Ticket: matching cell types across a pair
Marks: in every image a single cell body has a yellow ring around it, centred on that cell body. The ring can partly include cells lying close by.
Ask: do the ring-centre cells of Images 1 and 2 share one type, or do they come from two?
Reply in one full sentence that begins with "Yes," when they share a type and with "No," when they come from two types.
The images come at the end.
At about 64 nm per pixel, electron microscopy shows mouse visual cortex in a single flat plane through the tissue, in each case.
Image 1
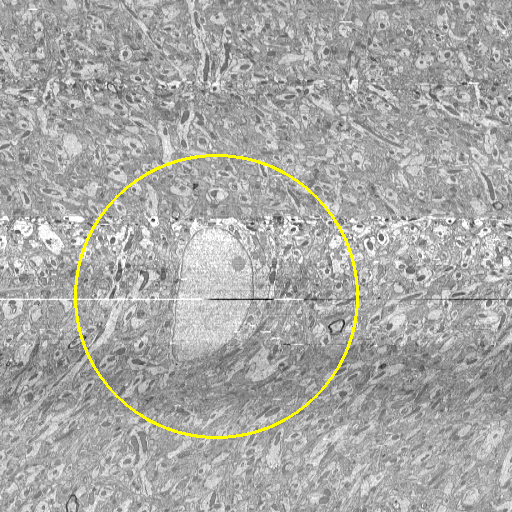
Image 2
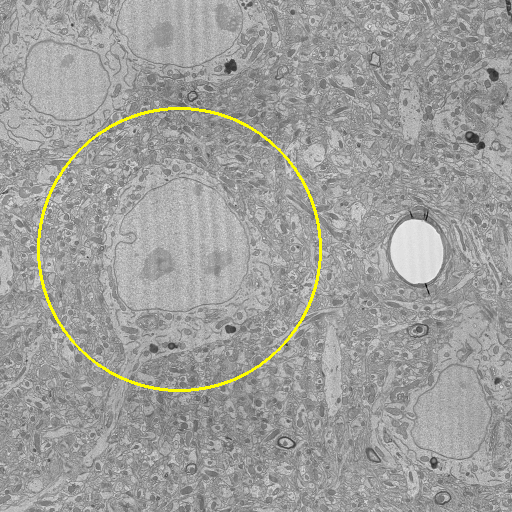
No, the cells in the centres of the rings in Image 1 and Image 2 come from two types.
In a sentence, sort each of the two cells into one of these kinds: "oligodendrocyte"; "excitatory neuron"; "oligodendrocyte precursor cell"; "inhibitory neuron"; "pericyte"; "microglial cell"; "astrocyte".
The first of the two cells is an astrocyte, and the second is an excitatory neuron.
